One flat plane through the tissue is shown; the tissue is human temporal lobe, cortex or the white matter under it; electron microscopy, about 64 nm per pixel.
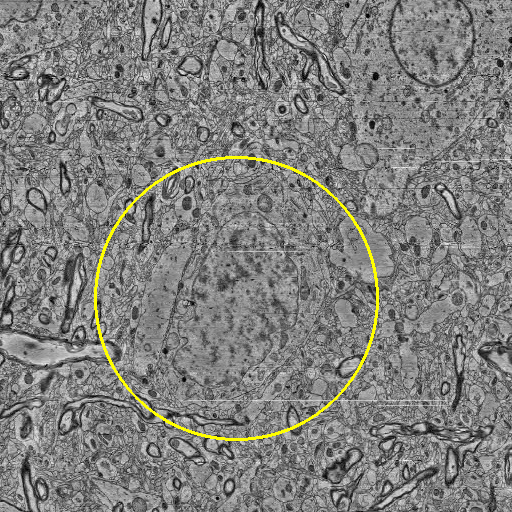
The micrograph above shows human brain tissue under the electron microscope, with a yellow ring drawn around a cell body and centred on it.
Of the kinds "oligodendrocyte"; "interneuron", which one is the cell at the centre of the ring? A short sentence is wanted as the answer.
The one at the centre of the ring is an interneuron.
